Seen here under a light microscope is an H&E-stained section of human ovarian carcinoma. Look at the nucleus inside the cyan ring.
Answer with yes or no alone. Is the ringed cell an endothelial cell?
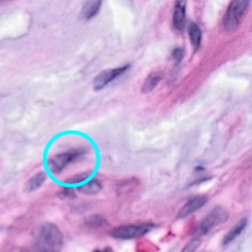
yes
